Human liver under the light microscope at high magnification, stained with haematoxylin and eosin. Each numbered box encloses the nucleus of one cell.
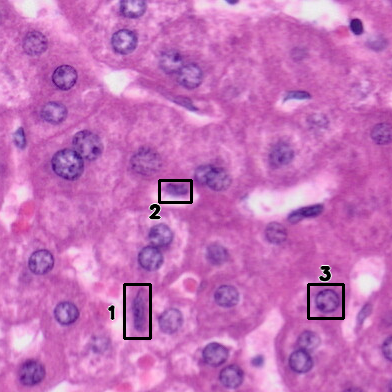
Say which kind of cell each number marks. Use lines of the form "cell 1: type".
cell 1: Kupffer cell
cell 2: Kupffer cell
cell 3: hepatocyte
